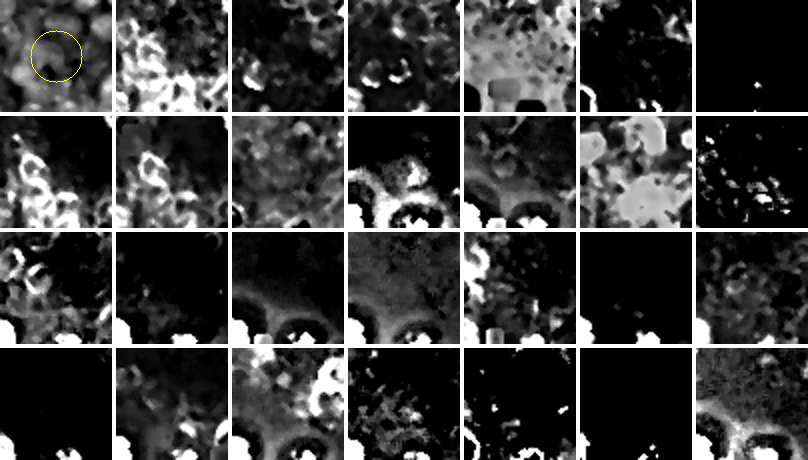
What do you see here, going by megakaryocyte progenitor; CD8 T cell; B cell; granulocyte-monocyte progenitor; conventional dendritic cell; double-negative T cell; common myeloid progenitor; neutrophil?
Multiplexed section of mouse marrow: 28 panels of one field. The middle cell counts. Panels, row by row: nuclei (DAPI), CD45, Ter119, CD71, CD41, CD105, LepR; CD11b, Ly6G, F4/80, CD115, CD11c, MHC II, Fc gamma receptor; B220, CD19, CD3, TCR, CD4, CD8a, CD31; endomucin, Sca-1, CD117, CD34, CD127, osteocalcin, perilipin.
I see a megakaryocyte progenitor.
